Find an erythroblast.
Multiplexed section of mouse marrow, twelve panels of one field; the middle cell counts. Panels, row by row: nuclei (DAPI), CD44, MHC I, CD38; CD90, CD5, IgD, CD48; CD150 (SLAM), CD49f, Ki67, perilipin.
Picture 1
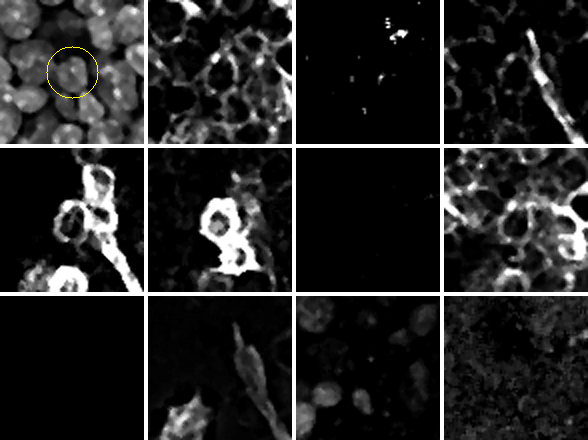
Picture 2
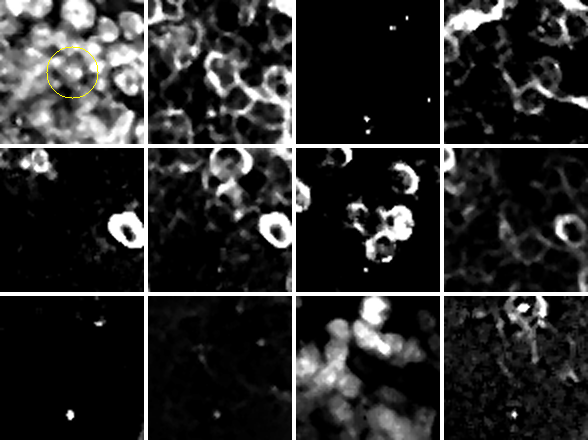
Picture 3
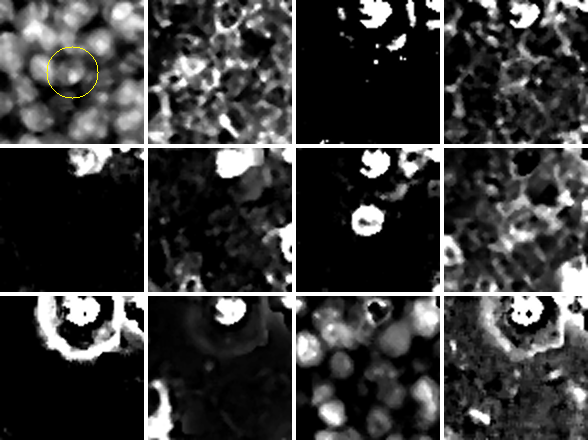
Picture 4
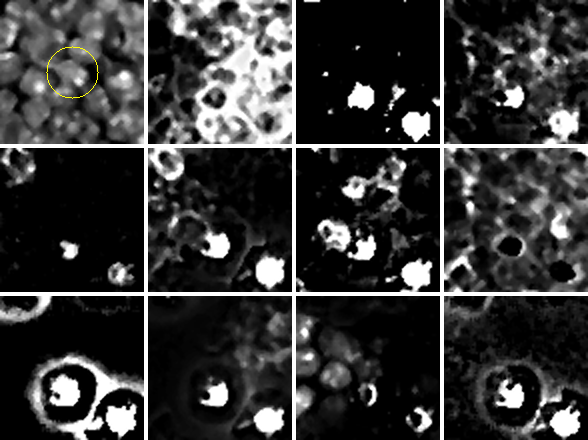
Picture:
4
